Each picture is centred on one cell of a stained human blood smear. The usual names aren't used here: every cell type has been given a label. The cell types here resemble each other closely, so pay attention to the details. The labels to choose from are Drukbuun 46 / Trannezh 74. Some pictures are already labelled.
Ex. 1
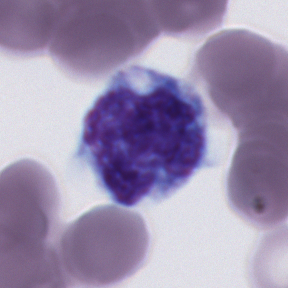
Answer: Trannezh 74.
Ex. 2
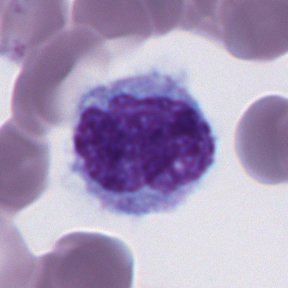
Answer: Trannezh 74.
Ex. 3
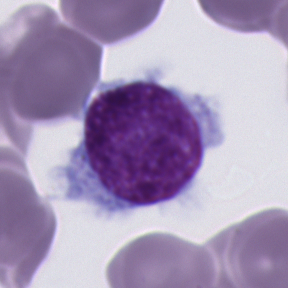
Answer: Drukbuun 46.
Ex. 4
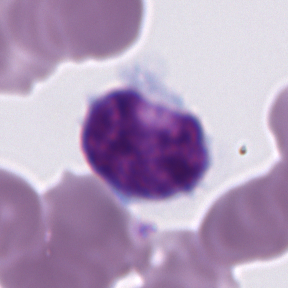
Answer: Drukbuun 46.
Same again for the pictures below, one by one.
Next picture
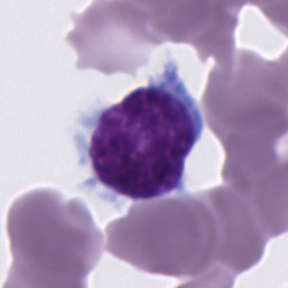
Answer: Drukbuun 46.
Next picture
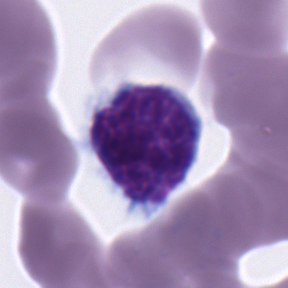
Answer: Drukbuun 46.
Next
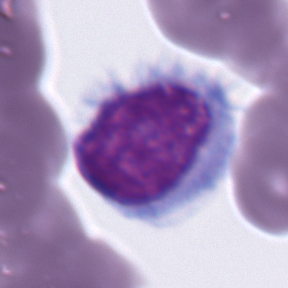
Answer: Drukbuun 46.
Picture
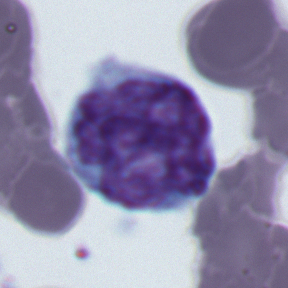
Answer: Trannezh 74.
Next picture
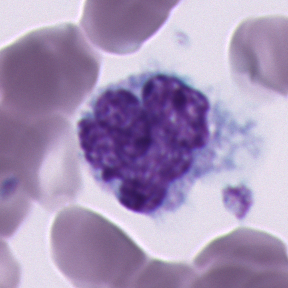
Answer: Trannezh 74.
